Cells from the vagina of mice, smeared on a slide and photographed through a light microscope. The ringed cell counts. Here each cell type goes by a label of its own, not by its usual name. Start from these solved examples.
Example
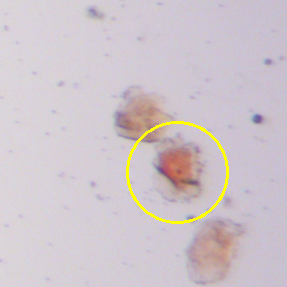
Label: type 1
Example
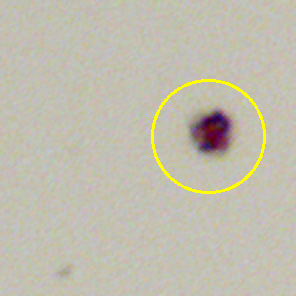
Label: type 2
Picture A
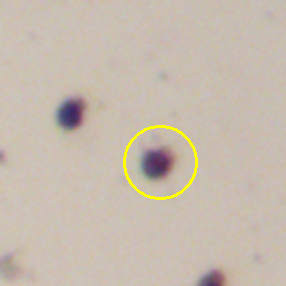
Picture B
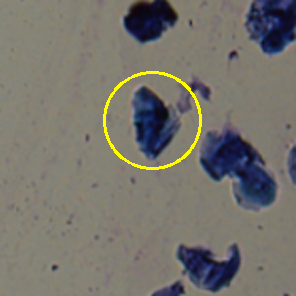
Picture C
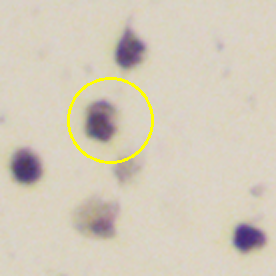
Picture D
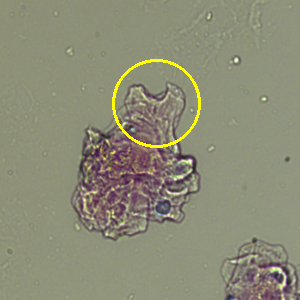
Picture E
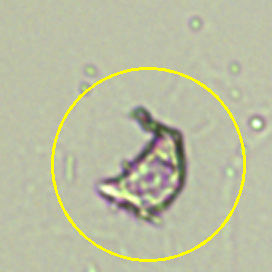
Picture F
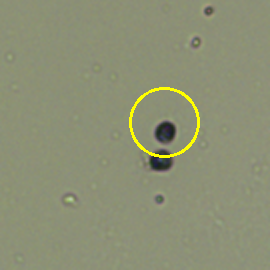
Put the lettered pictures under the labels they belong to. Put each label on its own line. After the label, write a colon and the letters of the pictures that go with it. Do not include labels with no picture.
type 1: B, D, E
type 2: A, C, F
